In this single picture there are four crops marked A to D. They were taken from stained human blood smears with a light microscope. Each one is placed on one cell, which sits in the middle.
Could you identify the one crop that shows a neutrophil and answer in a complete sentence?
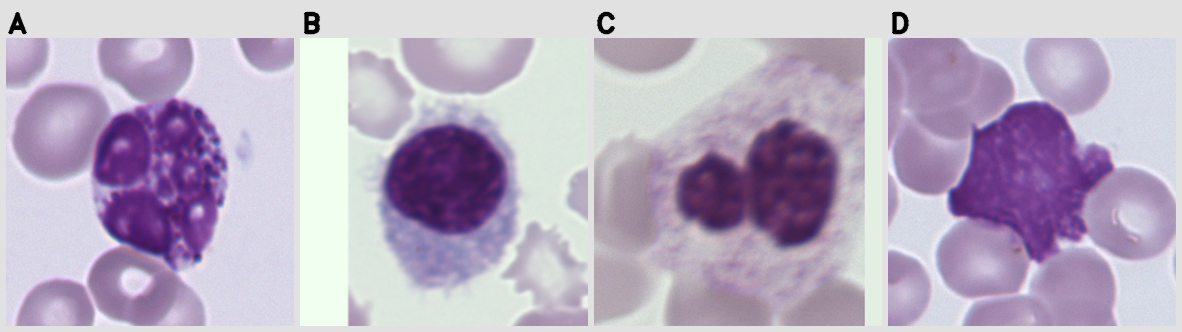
It is crop C that shows a neutrophil.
